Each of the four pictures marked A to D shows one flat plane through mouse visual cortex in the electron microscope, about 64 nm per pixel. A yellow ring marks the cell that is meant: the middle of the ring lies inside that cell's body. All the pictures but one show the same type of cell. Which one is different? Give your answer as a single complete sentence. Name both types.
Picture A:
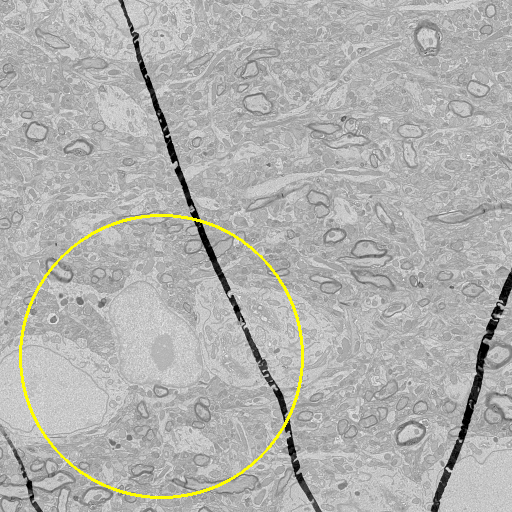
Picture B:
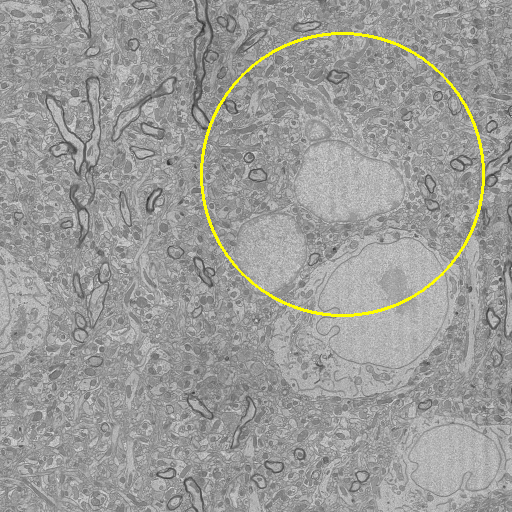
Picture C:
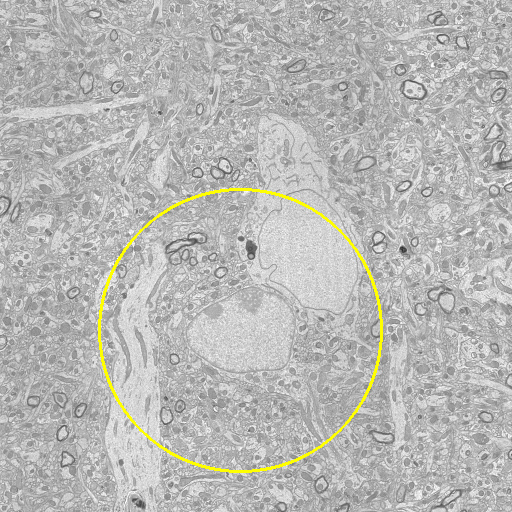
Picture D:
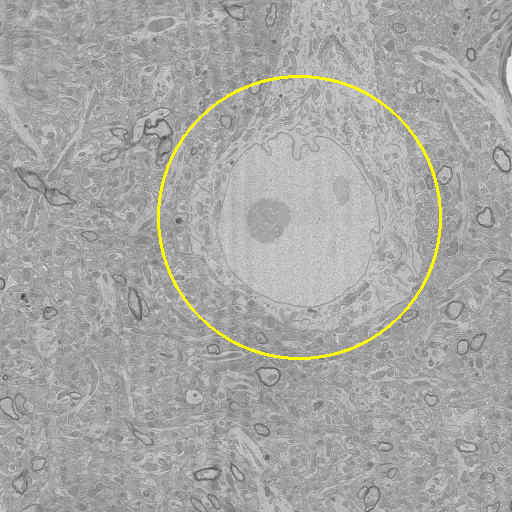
Unlike the rest, which show astrocytes, picture D shows an excitatory neuron.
